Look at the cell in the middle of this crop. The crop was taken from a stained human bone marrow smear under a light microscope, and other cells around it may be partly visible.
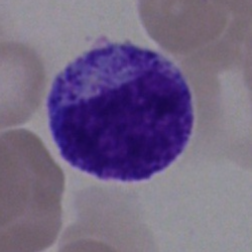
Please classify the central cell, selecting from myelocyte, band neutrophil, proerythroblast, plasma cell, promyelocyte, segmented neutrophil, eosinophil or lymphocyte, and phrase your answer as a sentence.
The cell marked by its central position in the crop is a myelocyte.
